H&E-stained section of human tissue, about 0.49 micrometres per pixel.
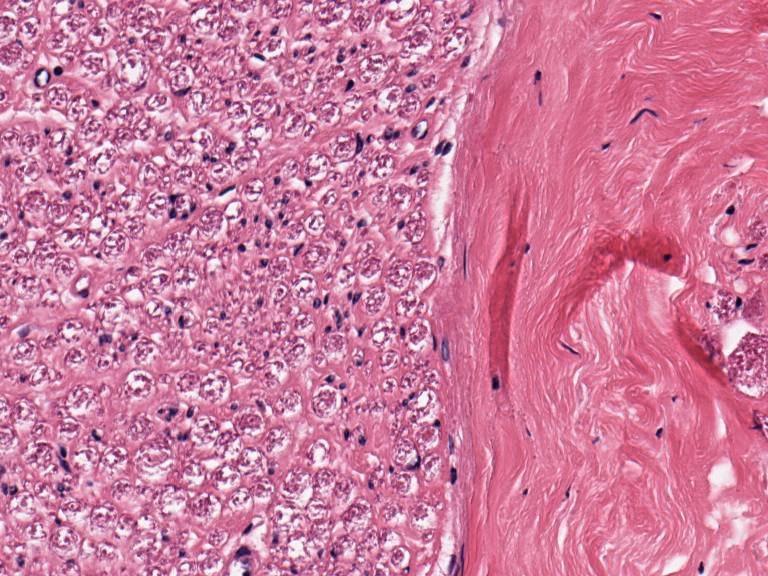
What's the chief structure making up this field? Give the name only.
nerve fascicle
